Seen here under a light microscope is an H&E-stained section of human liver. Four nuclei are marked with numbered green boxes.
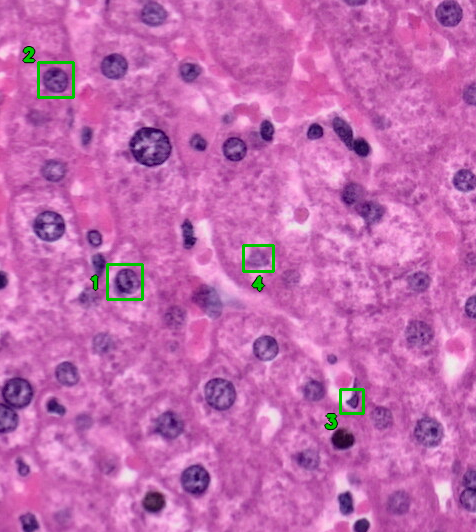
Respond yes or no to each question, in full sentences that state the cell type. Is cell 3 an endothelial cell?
Yes, looking at number 3, that cell is an endothelial cell.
